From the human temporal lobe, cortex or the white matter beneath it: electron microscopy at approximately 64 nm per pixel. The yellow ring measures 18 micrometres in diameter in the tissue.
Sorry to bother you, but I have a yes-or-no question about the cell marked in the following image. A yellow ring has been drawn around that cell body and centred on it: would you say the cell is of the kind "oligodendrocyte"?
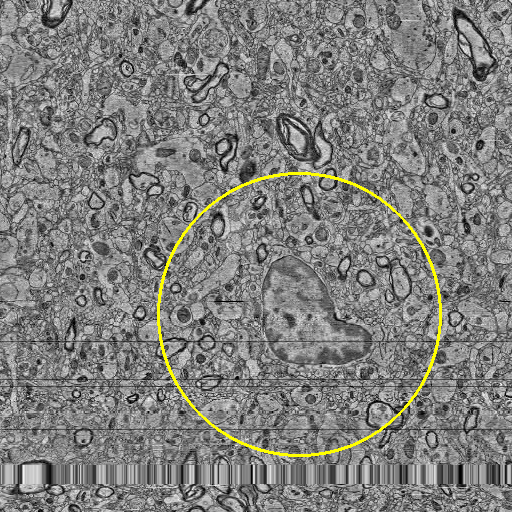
no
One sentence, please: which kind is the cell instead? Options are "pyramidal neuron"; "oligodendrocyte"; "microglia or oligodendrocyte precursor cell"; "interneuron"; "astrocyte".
Instead, the ring in this picture marks a microglial cell or oligodendrocyte precursor cell.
